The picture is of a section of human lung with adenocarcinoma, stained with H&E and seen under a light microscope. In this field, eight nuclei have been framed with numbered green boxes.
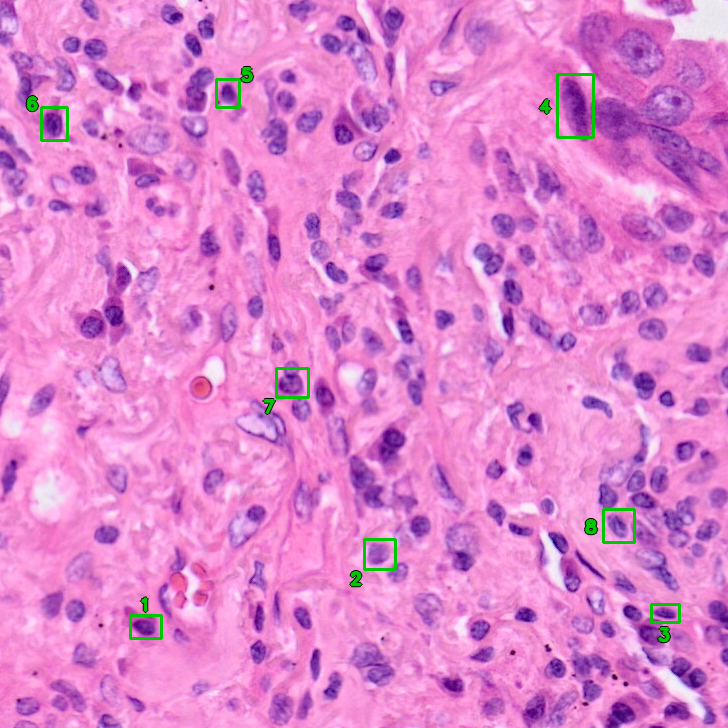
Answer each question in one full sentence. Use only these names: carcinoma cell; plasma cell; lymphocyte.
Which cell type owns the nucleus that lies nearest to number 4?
Closest to number 4 lies the nucleus of a carcinoma cell.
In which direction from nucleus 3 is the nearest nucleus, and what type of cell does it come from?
Just below and to the left of nucleus 3 lies the nearest nucleus, which belongs to a plasma cell.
